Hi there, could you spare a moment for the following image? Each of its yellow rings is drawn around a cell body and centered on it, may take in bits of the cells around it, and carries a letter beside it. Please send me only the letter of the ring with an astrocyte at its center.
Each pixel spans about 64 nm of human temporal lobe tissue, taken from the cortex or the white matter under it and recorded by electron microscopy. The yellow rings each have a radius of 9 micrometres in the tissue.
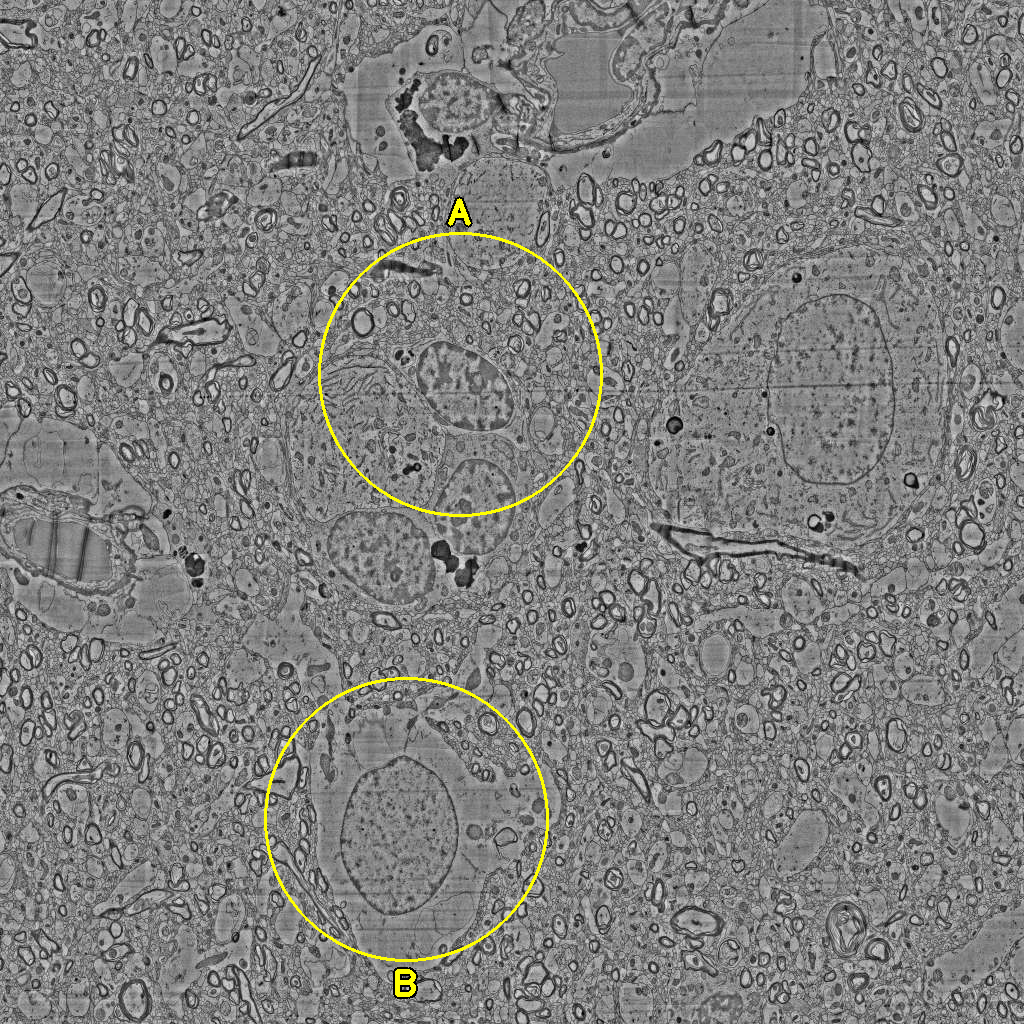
B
